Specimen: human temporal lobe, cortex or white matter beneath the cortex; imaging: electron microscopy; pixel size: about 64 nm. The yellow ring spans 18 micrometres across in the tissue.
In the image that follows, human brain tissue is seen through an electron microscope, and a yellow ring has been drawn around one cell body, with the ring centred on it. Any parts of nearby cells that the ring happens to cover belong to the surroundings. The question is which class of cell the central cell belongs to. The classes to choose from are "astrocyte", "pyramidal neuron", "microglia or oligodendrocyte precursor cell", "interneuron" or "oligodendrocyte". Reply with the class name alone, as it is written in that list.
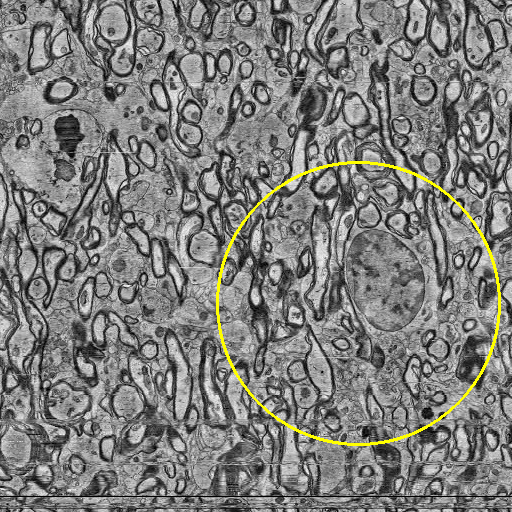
microglia or oligodendrocyte precursor cell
